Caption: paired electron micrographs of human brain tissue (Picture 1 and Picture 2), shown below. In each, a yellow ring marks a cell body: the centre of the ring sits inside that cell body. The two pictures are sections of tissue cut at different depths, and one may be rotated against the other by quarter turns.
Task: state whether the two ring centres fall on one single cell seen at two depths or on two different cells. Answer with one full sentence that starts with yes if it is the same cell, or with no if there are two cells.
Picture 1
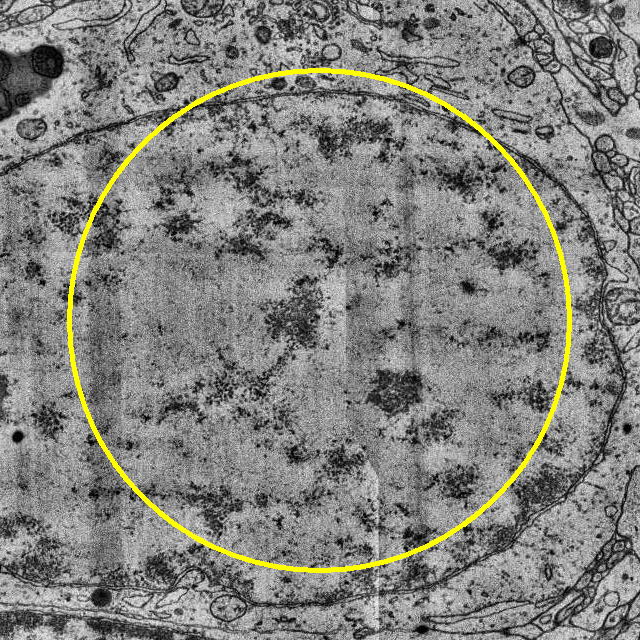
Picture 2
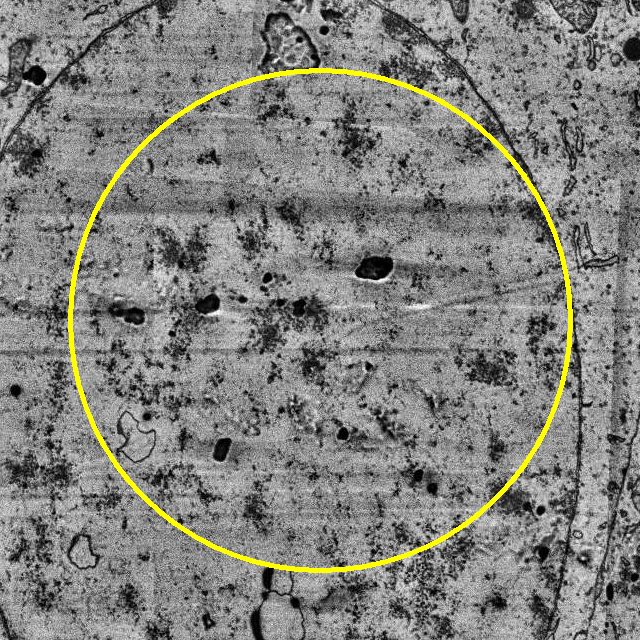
No, the two yellow rings correspond to two separate cells.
